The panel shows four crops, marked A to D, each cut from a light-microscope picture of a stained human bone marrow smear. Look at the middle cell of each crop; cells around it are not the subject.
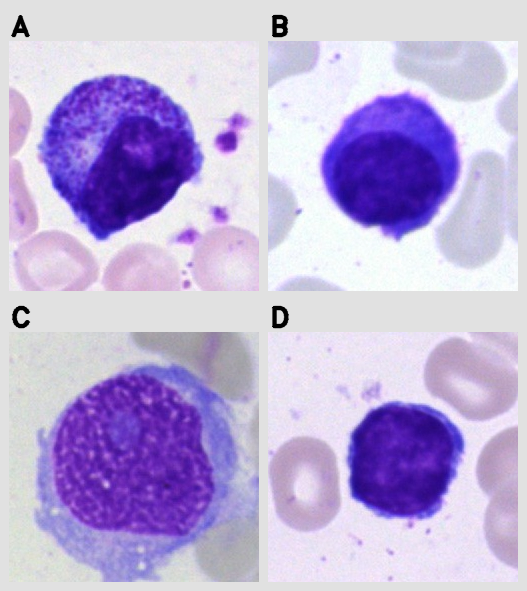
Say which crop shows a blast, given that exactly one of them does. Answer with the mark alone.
C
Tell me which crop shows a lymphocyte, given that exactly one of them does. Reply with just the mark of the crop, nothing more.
D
